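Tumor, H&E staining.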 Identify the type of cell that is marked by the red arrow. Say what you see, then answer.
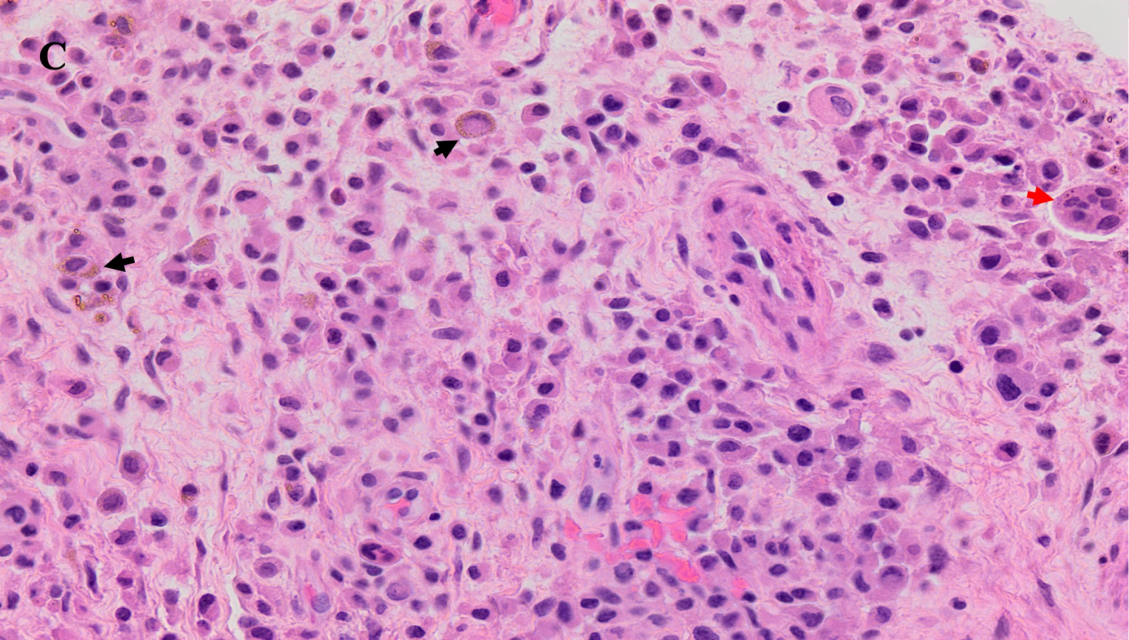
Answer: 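The marked cell is much larger than its neighbours. It holds several nuclei clustered in one cytoplasm. The answer: multinucleated giant cells.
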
